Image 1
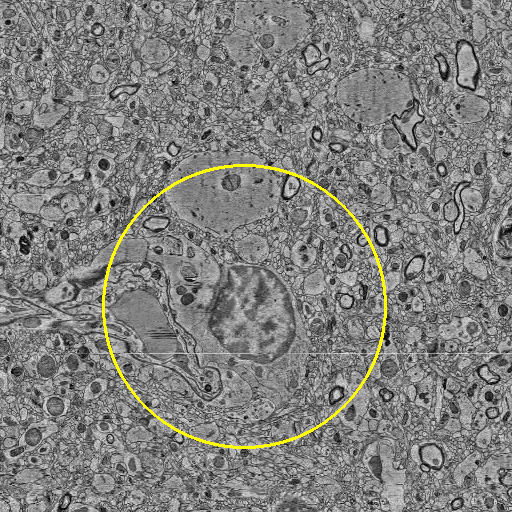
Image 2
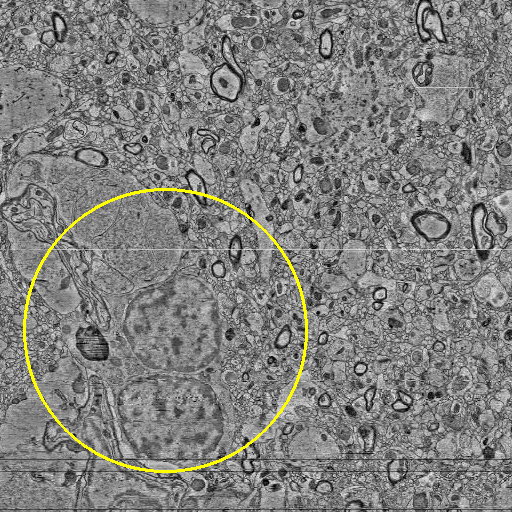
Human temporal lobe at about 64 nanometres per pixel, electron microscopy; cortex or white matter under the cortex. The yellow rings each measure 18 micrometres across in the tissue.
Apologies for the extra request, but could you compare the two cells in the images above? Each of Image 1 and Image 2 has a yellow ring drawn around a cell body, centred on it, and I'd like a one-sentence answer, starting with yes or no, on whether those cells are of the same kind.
Yes, both cells are of the same kind.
